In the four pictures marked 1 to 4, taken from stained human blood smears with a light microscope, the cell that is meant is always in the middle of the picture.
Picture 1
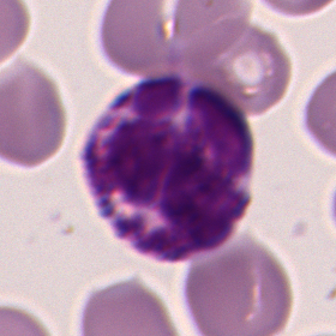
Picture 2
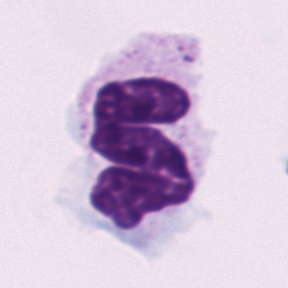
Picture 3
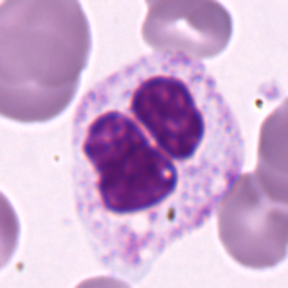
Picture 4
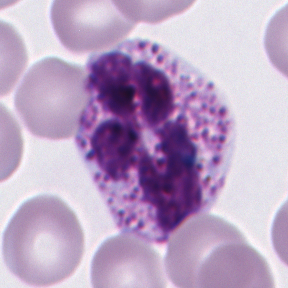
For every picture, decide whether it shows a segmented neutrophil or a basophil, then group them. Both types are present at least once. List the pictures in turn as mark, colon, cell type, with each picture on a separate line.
1: basophil
2: segmented neutrophil
3: segmented neutrophil
4: basophil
